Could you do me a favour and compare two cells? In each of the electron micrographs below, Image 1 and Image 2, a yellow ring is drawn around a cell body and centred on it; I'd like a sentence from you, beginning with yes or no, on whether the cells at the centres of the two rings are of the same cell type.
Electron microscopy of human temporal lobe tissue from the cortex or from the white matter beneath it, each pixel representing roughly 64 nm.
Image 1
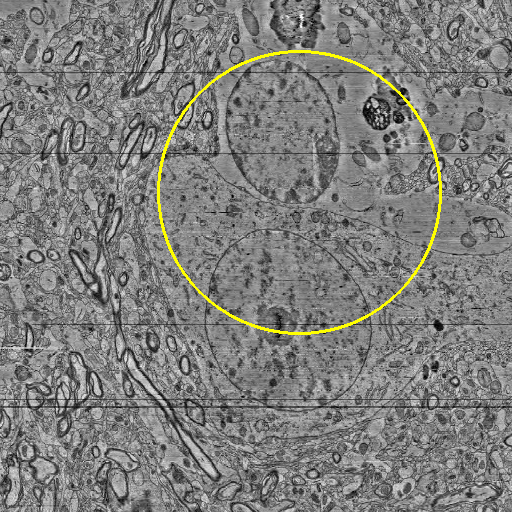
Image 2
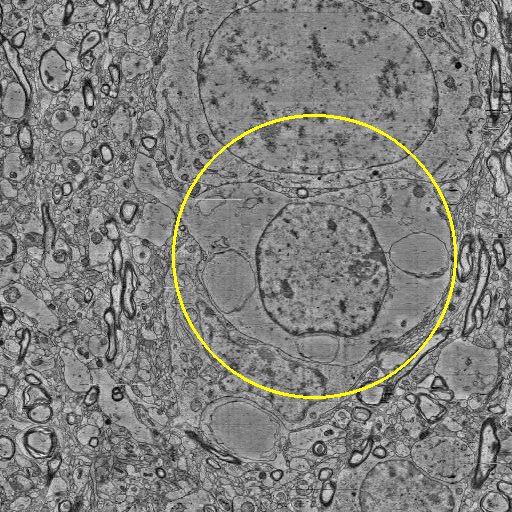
Yes, the two cells are of the same cell type.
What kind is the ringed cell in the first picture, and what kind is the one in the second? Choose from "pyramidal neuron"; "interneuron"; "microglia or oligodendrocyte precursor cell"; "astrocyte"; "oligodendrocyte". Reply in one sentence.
In both pictures the ring is centred on an astrocyte.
